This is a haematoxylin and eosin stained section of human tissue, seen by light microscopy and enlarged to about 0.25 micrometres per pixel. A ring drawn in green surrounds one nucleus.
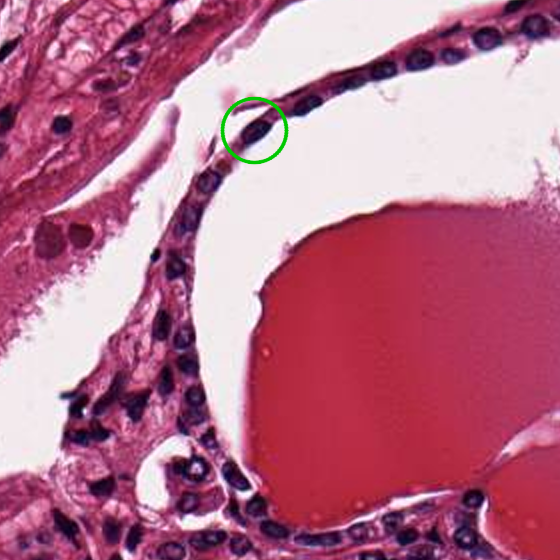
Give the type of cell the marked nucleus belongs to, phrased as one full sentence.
The marked nucleus is the nucleus of a thyroid follicular cell.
